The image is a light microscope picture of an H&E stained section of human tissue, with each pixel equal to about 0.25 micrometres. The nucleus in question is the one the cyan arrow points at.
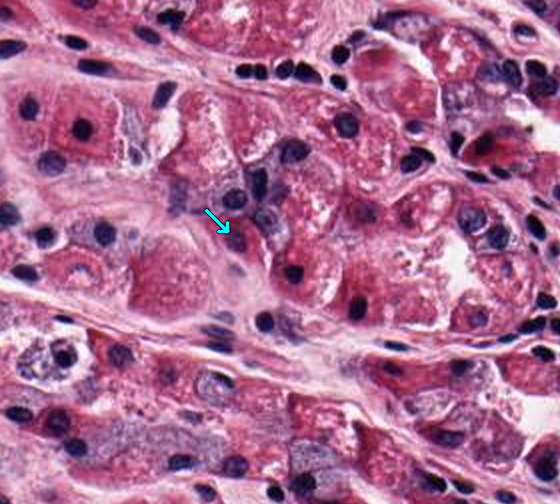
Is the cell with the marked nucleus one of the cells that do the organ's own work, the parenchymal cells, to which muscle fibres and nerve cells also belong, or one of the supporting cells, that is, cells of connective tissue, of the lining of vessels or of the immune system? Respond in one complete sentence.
The marked nucleus belongs to the parenchyma, being the nucleus of a parietal cell.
